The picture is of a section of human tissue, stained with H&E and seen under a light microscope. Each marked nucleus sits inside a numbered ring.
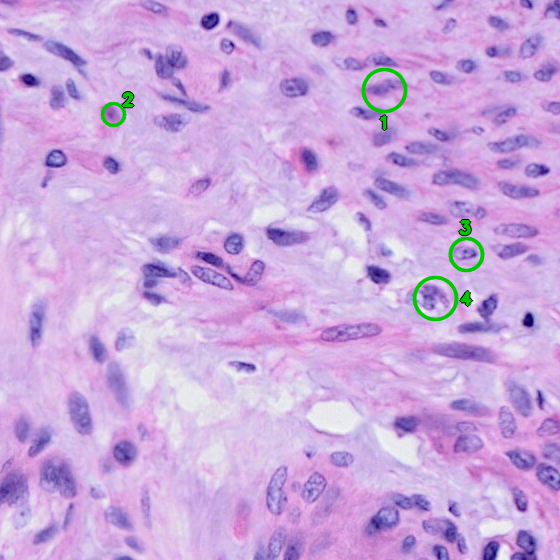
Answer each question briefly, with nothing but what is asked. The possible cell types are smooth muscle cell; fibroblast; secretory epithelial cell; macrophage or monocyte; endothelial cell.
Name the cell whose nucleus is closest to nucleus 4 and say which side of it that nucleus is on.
a macrophage or monocyte, to the left of nucleus 4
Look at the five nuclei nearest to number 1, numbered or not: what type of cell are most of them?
smooth muscle cell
